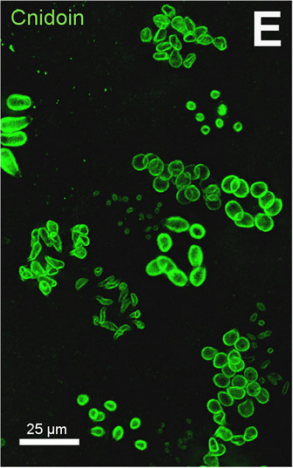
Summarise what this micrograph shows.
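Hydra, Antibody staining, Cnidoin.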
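These are nests of developing nematocytes in the body column, seen as groups of capsules outlined in green. Each nest holds capsules of much the same size and shape, some round, some oval or elongated, lying packed together, while nests of larger and smaller capsules lie side by side. Between the nests only small scattered green dots are seen.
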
